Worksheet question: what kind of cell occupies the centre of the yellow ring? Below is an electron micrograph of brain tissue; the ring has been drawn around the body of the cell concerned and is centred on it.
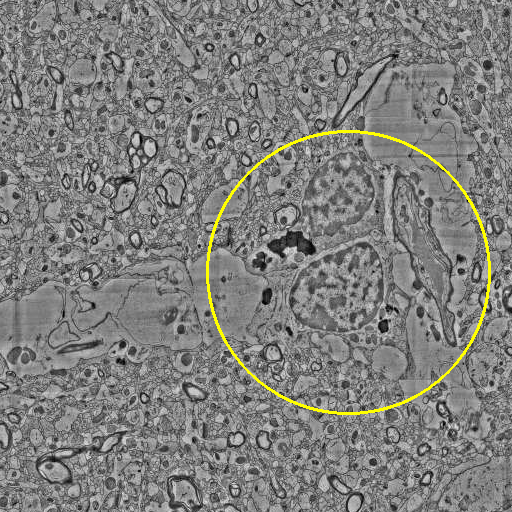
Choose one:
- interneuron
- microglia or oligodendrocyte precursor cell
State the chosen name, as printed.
microglia or oligodendrocyte precursor cell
